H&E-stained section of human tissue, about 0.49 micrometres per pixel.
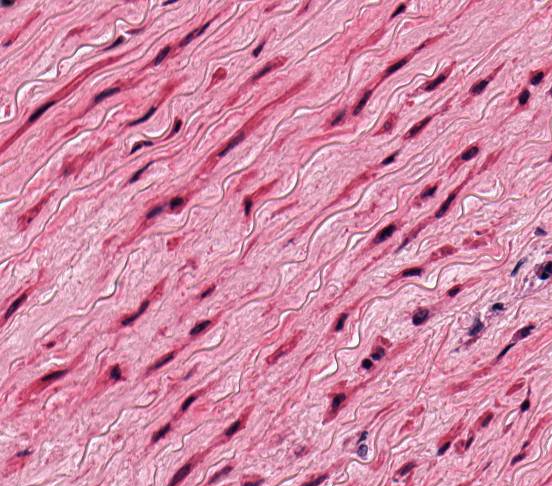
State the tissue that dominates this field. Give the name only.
tunica media of an artery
